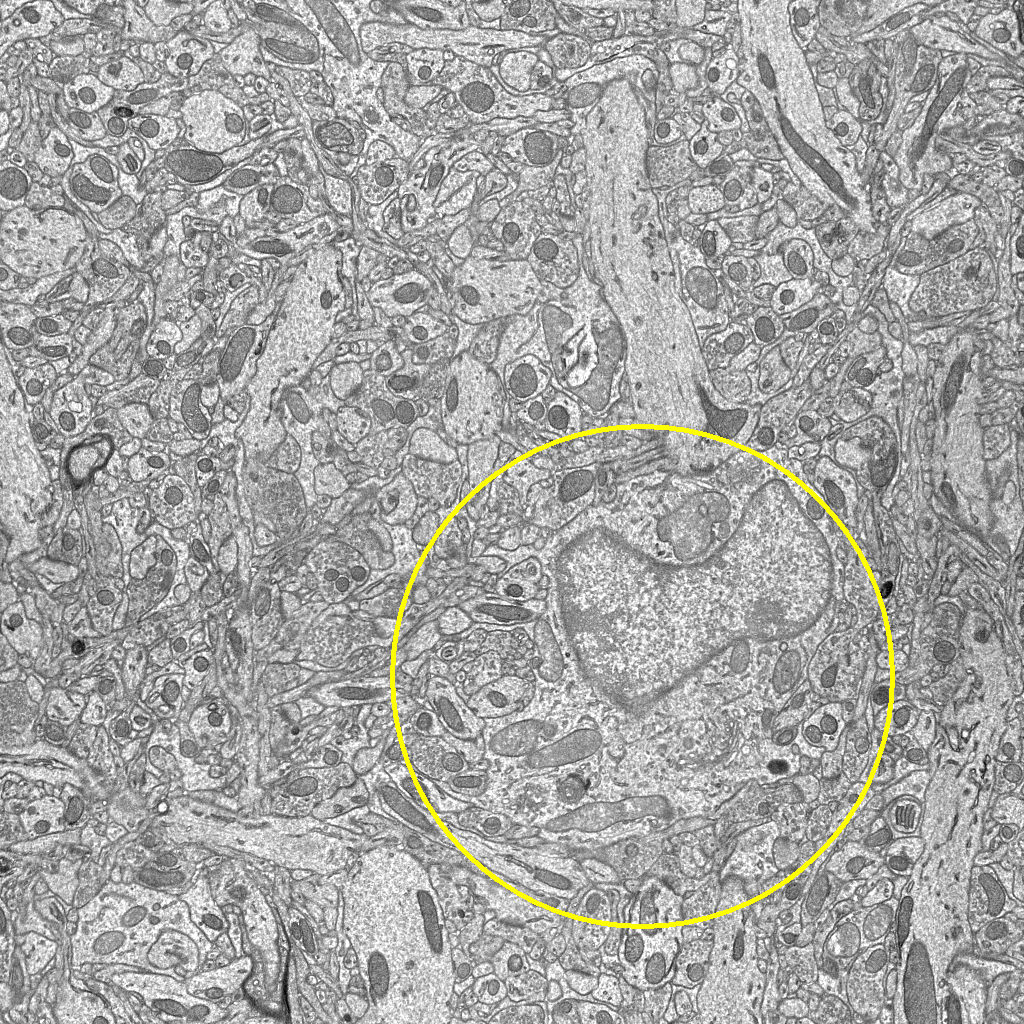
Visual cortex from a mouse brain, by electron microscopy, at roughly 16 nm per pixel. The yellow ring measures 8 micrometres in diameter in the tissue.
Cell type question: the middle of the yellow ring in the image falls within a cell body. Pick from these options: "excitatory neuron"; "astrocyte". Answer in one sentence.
The cell body at the center of the ring belongs to an astrocyte.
